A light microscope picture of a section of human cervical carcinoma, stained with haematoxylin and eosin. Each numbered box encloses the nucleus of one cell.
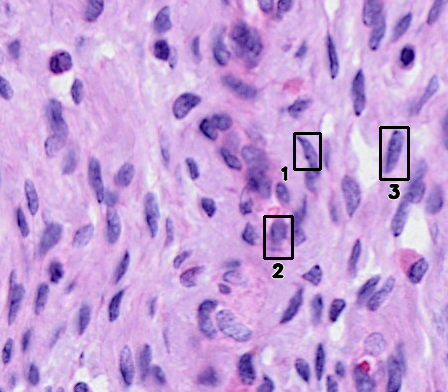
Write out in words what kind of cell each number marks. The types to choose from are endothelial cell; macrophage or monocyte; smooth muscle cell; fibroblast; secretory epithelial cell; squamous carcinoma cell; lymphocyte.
Cell 1 is a fibroblast, cell 2 is an endothelial cell and cell 3 is a fibroblast.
